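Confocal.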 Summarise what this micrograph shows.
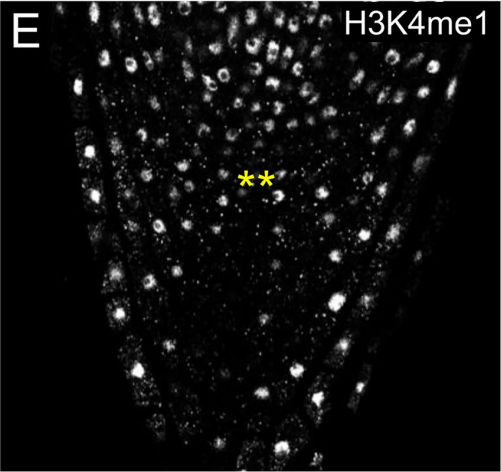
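This is the tip of a plant root meristem, showing the nuclei of the cells around the quiescent center, which sits at the centre where the cell files converge. The nuclei of the outer cell layers and root cap stain brightly, while the nuclei near the centre are fainter and finely speckled.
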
